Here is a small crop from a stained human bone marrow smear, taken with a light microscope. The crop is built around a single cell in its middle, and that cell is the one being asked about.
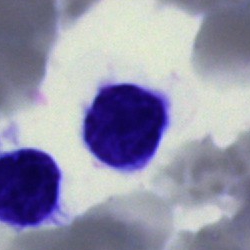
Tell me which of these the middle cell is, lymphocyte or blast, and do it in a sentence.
The cell occupying the middle of the crop is a lymphocyte.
